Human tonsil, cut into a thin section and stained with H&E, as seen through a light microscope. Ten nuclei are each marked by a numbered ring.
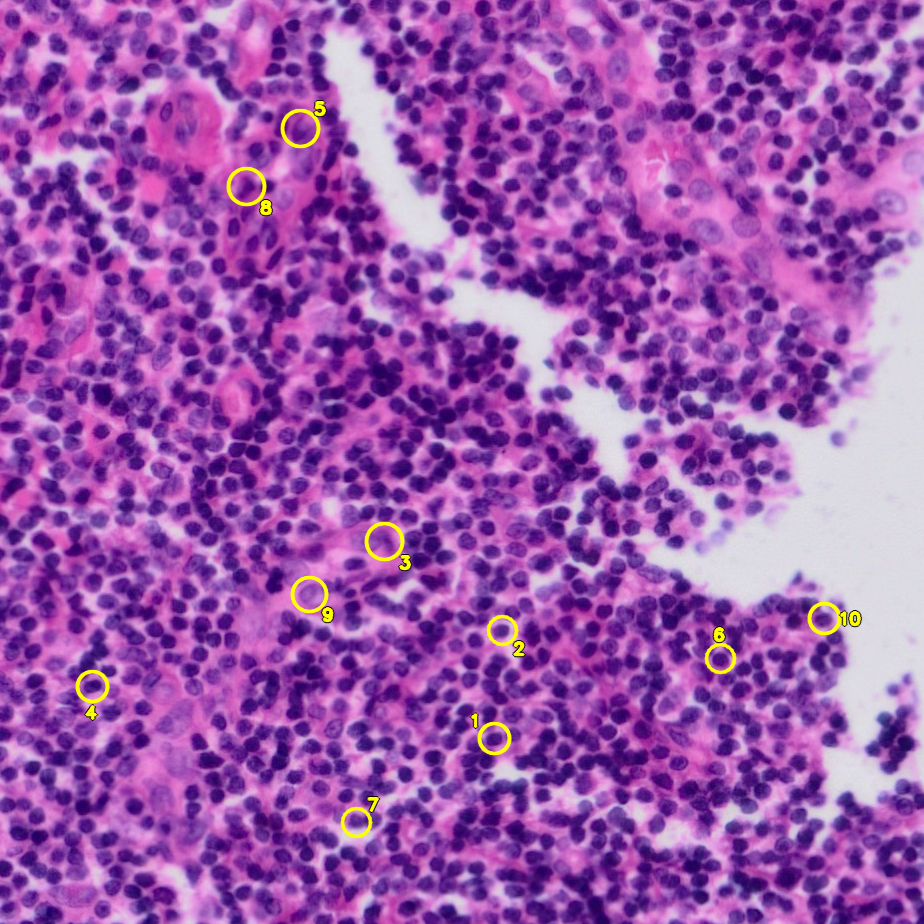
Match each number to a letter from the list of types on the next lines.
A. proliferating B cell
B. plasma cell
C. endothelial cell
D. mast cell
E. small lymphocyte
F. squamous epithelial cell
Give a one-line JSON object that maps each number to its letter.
{"1": "E", "2": "E", "3": "C", "4": "E", "5": "C", "6": "E", "7": "E", "8": "C", "9": "C", "10": "E"}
